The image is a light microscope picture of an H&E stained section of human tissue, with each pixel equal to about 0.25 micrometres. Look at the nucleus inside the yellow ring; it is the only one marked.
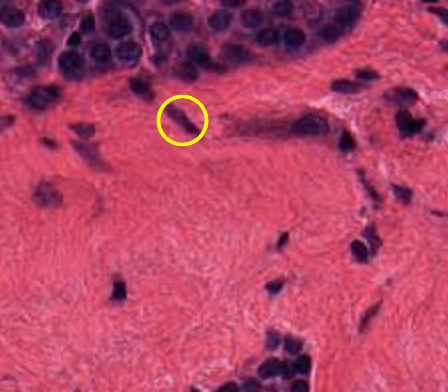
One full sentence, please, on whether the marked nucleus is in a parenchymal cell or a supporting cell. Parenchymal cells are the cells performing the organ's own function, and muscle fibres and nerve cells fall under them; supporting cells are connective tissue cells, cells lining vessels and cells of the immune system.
The marked nucleus is attributed to a supporting cell.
